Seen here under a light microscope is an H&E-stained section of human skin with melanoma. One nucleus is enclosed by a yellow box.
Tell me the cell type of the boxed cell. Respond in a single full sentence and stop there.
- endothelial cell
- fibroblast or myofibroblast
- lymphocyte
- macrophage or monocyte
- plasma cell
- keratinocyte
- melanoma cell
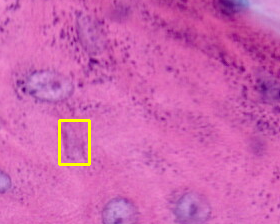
Just put down that the boxed cell is a keratinocyte.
